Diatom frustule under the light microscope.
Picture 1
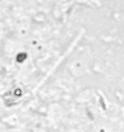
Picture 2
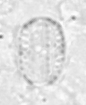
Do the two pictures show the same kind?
No: Fistulifera, then Amphora.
